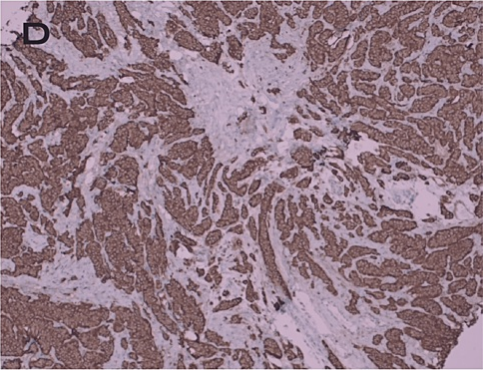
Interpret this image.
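This is a tumor of epithelial cells arranged in cords, ribbons and nests that branch through a loose, pale stroma. Nearly all tumor cells are filled with a strong, even brown stain in their cytoplasm. The stroma between the cell cords stays unstained and pale blue, so the trabecular pattern stands out sharply.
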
